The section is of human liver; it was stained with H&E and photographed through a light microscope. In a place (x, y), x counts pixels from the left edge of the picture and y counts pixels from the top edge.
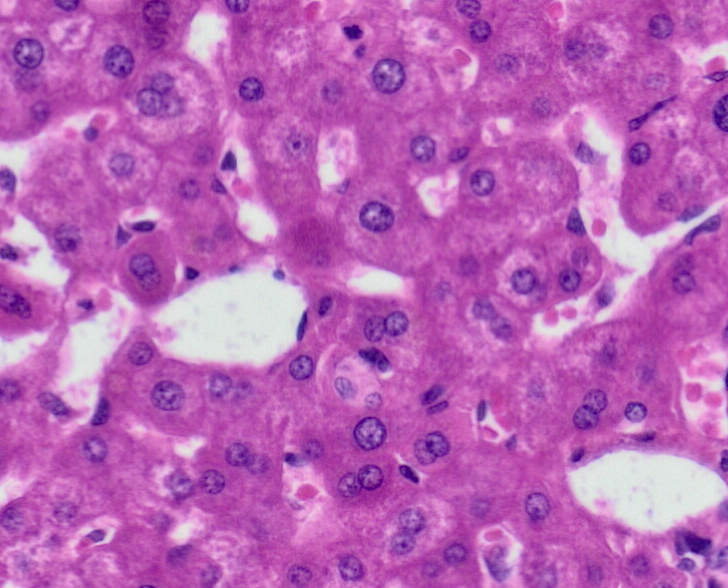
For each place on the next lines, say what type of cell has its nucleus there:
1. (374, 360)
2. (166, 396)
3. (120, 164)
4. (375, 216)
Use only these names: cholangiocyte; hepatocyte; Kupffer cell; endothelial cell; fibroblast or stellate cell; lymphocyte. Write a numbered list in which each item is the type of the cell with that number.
1. fibroblast or stellate cell
2. hepatocyte
3. hepatocyte
4. hepatocyte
